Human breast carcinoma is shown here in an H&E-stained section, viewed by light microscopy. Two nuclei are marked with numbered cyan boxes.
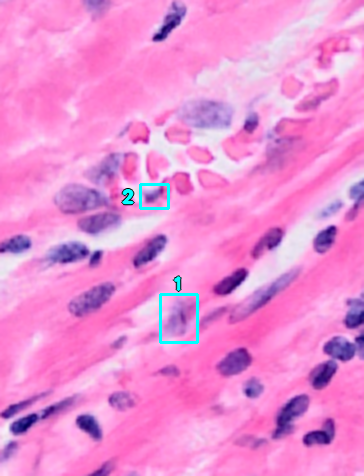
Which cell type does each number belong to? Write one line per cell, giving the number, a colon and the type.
1: fibroblast
2: endothelial cell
